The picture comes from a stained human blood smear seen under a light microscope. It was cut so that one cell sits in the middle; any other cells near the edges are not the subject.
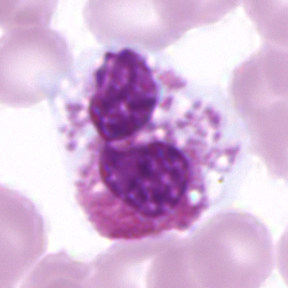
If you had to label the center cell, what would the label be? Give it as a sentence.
The cell at the central position in this crop is an eosinophil.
